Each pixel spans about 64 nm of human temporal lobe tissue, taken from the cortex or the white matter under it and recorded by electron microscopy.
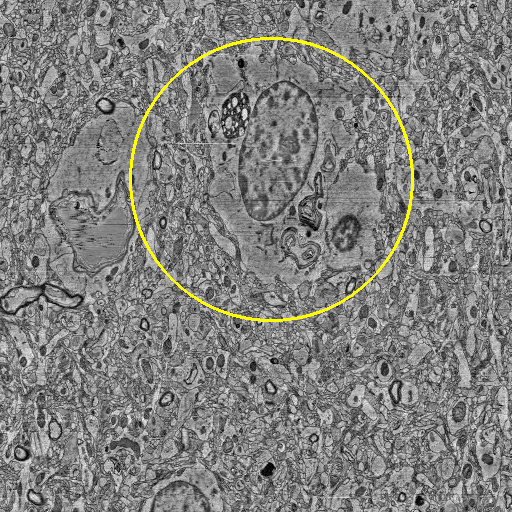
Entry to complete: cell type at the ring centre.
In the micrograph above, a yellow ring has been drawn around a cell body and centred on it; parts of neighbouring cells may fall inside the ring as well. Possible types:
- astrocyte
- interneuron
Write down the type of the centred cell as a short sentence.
The ring is centred on an astrocyte.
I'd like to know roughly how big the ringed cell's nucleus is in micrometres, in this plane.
The nucleus comes to approximately 9 by 5 micrometres and is clearly longer than it is wide in this plane.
